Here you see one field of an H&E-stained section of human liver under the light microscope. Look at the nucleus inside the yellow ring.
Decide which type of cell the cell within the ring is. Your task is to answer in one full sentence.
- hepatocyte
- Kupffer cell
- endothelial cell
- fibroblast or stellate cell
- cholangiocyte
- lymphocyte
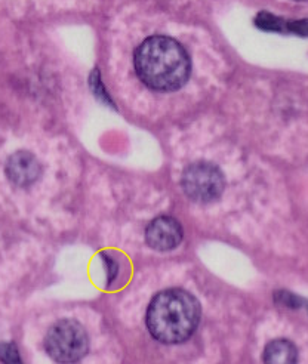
Typologically, the cell within the ring is an endothelial cell in this section.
